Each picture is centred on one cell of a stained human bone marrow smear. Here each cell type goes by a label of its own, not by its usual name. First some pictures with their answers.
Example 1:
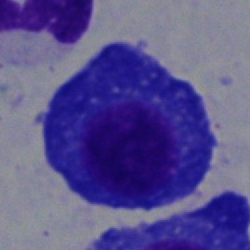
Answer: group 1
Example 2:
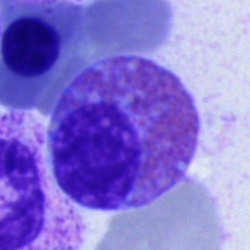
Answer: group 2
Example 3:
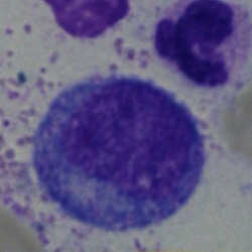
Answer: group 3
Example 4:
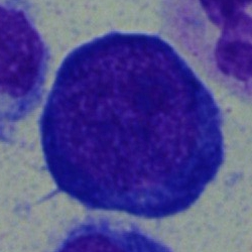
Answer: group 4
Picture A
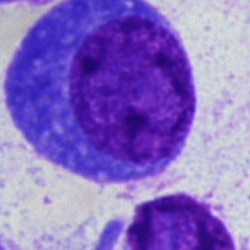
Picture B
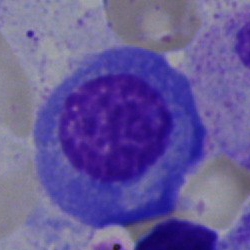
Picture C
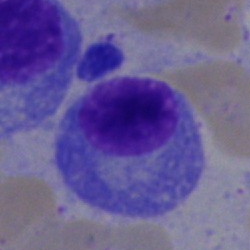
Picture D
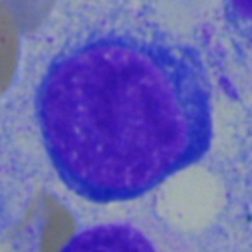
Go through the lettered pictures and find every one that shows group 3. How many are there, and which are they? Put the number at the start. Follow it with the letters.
0, none of them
